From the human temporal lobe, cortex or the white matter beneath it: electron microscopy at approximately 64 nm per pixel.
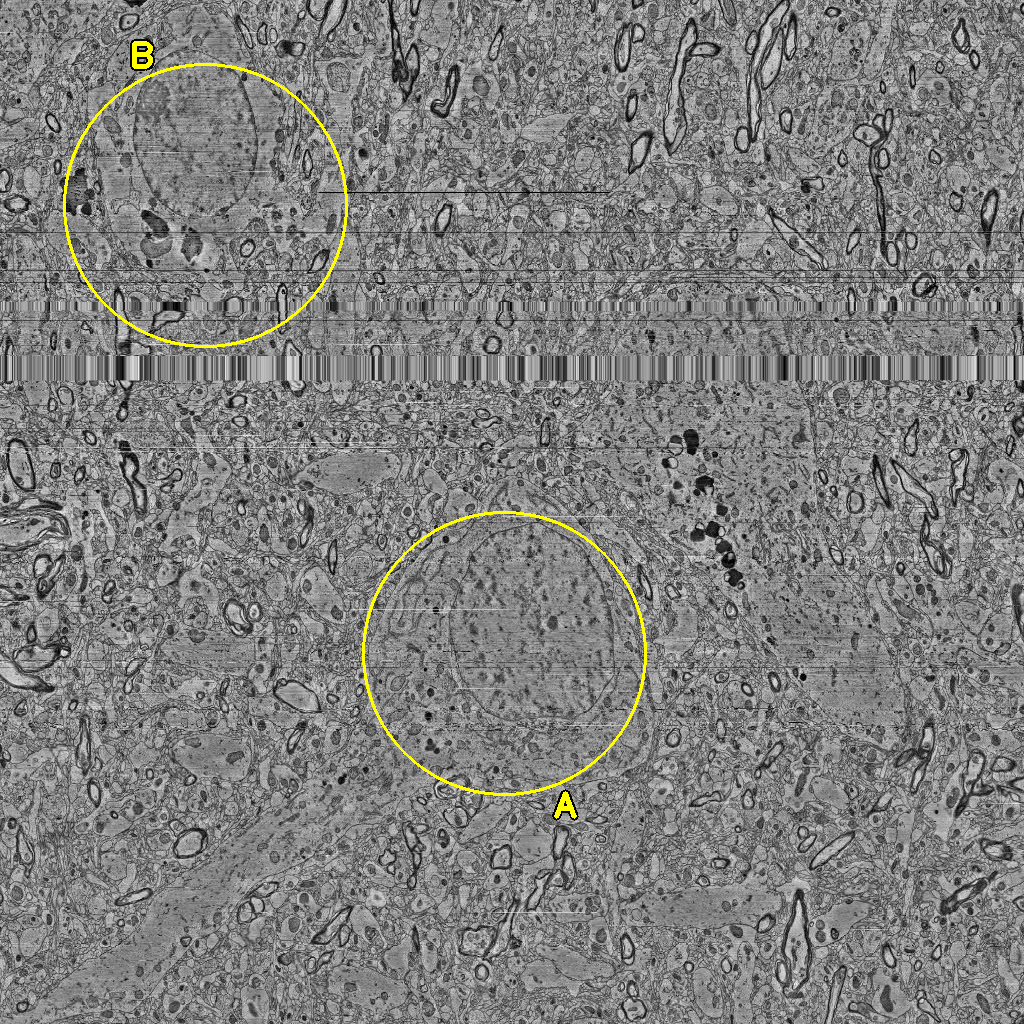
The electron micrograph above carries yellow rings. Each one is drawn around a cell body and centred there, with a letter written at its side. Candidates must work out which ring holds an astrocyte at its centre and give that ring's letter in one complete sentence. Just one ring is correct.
Letter B marks the ring whose centre holds that kind of cell.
